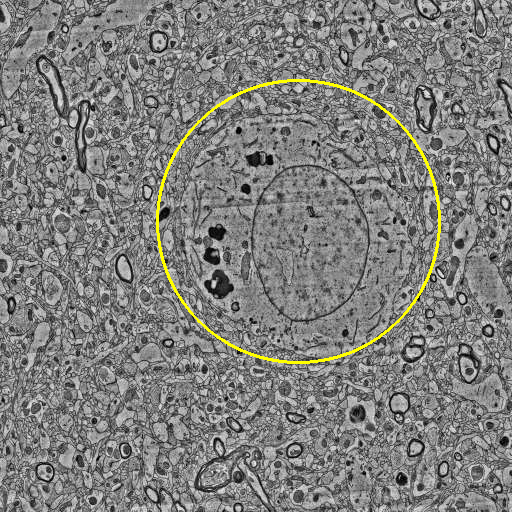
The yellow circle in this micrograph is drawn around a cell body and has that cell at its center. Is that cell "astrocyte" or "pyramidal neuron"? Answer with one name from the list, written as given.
pyramidal neuron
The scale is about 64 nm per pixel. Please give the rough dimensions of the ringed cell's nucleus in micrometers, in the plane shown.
About 10 by 8 micrometers for the nucleus, in this plane.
